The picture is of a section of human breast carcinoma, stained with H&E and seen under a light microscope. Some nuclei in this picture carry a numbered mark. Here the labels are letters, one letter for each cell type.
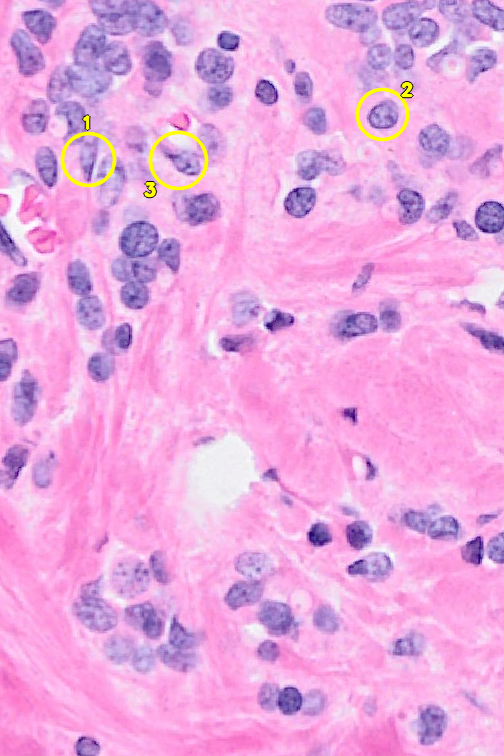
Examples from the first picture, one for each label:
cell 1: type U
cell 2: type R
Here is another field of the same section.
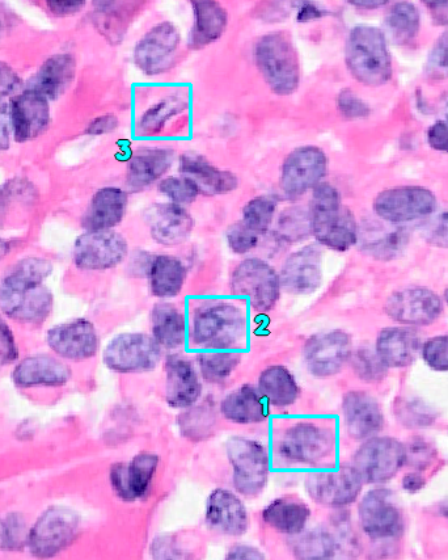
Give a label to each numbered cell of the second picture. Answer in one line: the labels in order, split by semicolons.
type R; type R; type U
